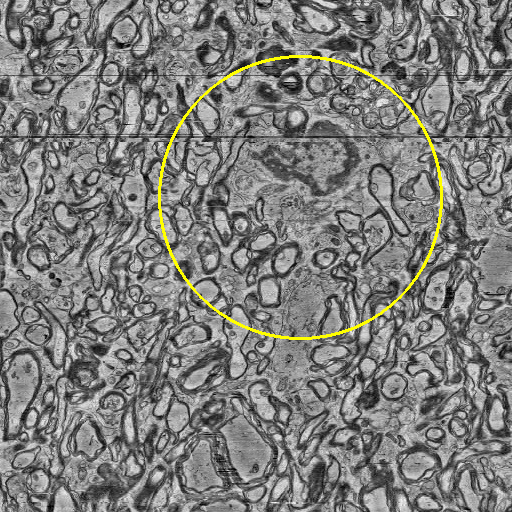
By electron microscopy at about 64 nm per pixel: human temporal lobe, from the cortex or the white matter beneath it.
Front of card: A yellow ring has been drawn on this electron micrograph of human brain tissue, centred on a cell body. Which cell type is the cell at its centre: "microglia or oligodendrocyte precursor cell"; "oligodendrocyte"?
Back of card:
microglia or oligodendrocyte precursor cell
